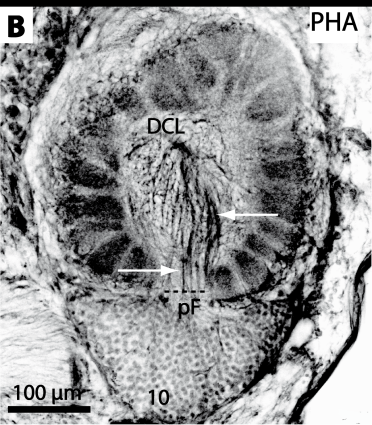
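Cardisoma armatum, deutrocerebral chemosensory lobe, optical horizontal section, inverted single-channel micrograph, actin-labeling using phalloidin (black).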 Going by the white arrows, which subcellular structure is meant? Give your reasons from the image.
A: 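Thin dark parallel fibres run through the centre of the lobe. The fibres converge toward the lower opening of the lobe. So: axons of projection neurons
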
